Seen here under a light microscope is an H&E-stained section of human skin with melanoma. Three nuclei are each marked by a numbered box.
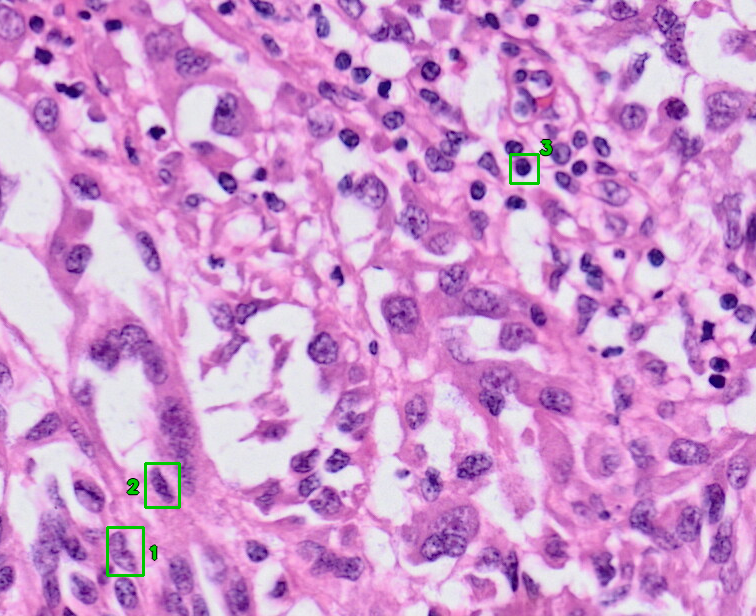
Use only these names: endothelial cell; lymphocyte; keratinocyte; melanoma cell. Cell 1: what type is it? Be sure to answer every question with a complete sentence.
The cell given label 1 is a melanoma cell.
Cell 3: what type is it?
The cell numbered 3 represents a lymphocyte.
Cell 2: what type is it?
That cell with number 2 is a melanoma cell.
